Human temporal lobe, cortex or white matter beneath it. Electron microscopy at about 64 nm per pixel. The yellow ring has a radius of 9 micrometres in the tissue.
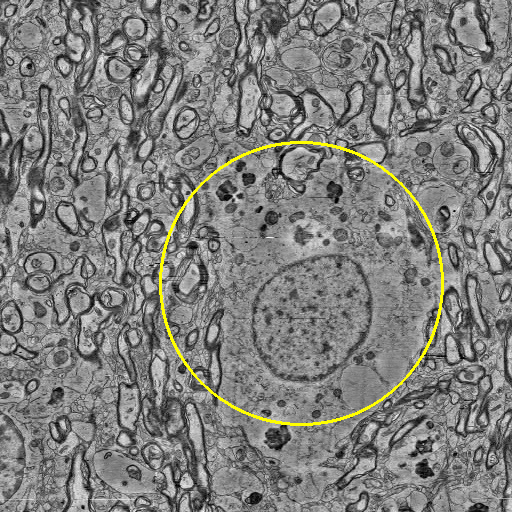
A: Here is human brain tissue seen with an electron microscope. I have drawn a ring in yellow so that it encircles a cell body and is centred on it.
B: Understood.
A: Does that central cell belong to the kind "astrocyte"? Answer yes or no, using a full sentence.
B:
Yes, the central cell inside your yellow ring belongs to that kind.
